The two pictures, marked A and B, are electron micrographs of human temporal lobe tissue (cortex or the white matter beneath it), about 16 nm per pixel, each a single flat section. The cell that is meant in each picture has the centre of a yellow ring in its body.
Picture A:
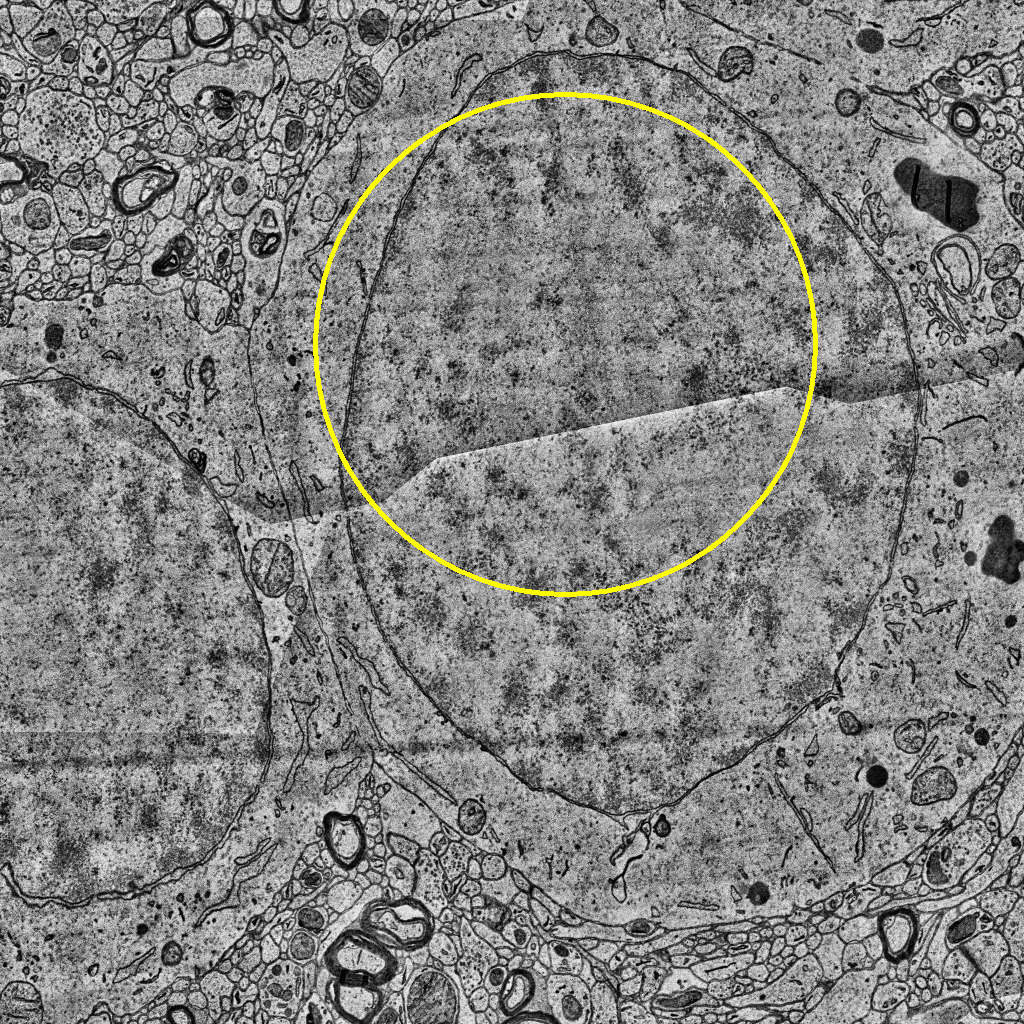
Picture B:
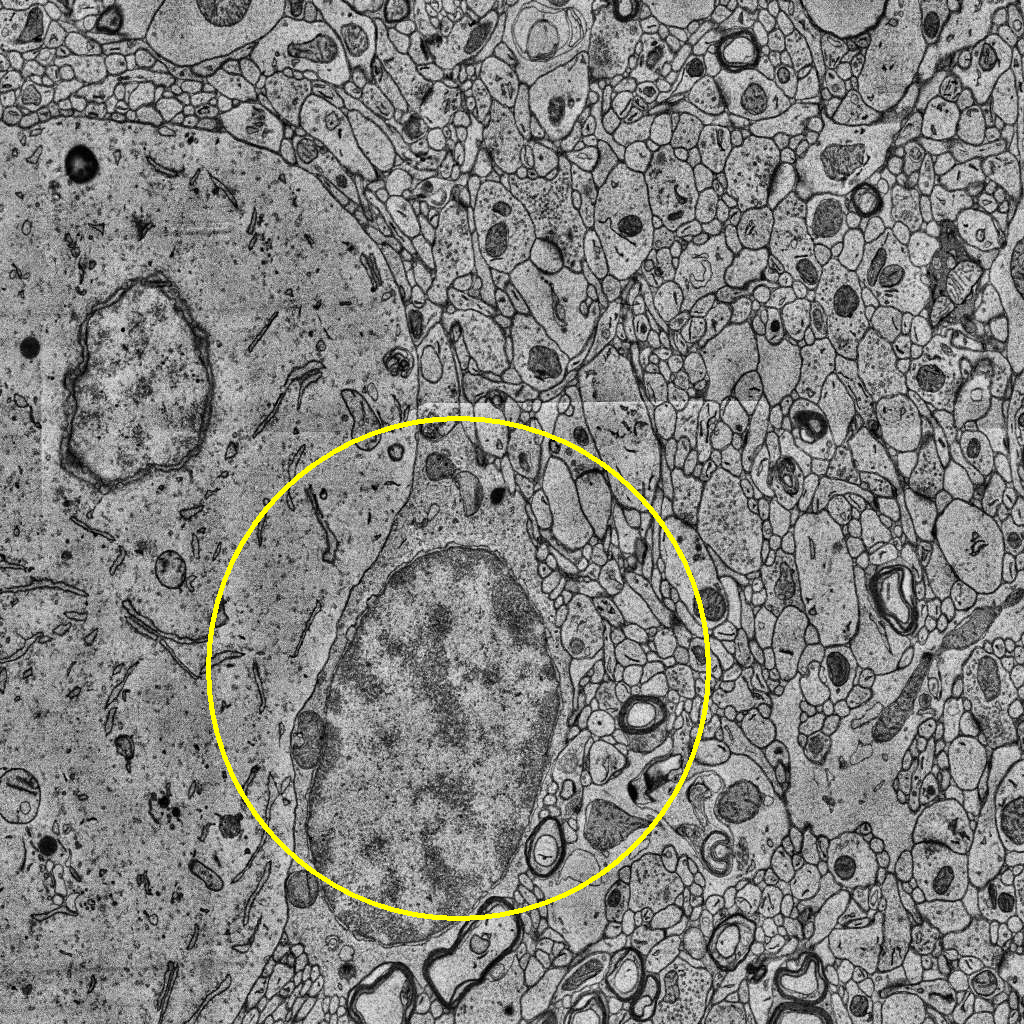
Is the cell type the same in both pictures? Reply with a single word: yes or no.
no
